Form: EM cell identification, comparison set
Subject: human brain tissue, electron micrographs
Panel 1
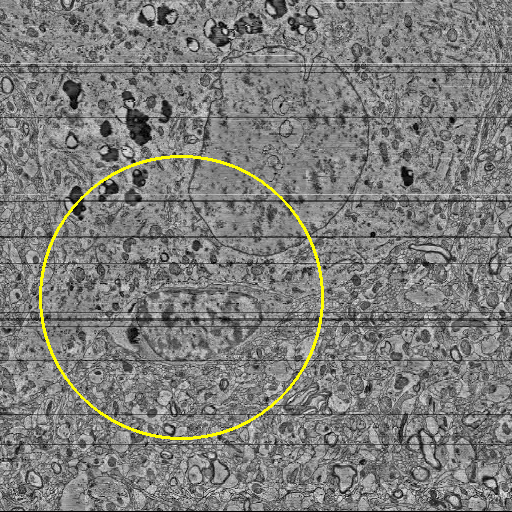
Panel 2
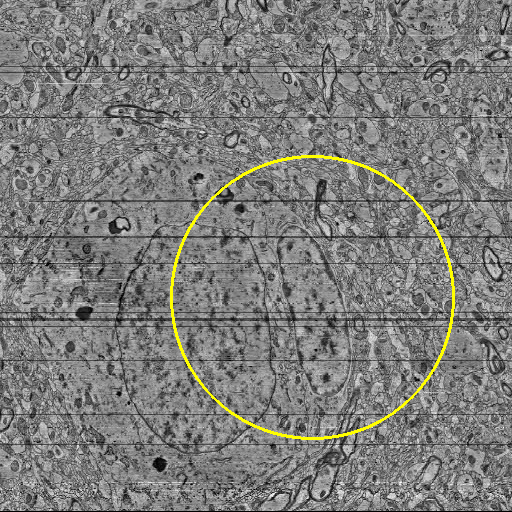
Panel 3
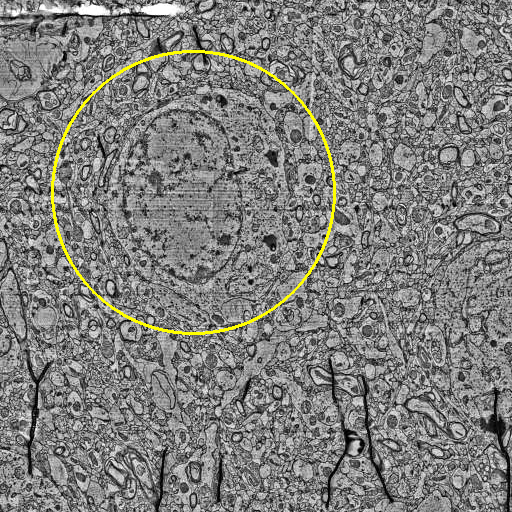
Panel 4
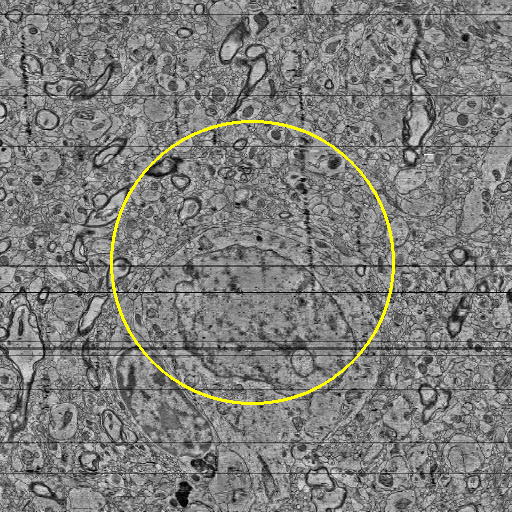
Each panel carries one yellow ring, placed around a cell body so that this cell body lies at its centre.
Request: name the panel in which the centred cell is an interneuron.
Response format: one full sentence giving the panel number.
Panel 3 has it at the centre of its ring.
